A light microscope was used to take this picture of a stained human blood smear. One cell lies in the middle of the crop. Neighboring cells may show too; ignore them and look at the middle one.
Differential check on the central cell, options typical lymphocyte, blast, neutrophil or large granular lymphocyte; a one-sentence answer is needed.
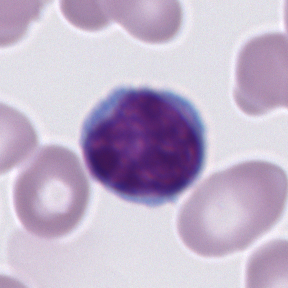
The middle cell in this particular crop is a typical lymphocyte.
